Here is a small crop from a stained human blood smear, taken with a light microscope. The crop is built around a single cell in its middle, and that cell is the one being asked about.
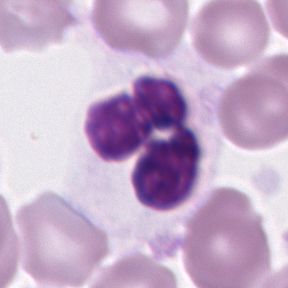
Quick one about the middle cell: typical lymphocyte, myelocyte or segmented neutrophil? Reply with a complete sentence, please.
In short, the cell at the center is a segmented neutrophil.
